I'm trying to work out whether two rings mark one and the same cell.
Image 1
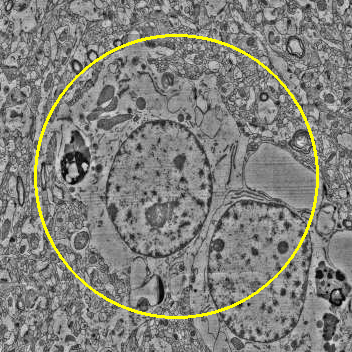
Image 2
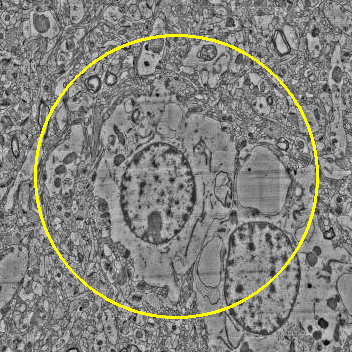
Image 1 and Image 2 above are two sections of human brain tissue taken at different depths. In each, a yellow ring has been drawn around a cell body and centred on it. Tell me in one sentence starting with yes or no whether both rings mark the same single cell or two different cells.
Yes, these two rings point to one cell rather than two.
